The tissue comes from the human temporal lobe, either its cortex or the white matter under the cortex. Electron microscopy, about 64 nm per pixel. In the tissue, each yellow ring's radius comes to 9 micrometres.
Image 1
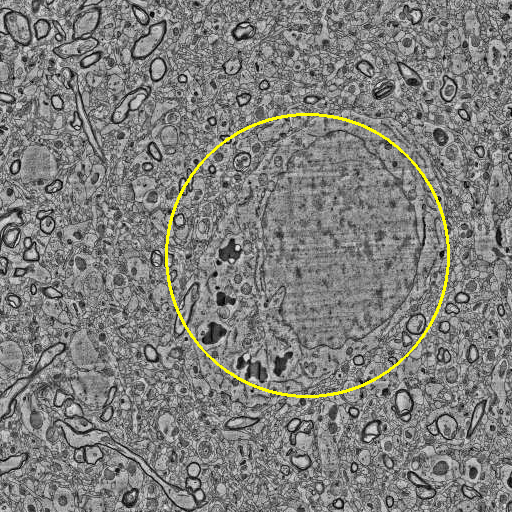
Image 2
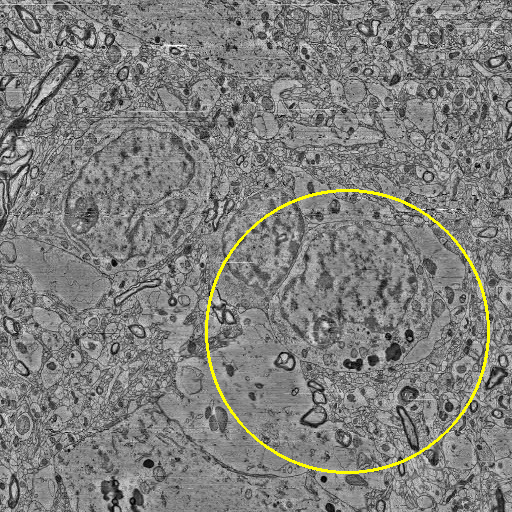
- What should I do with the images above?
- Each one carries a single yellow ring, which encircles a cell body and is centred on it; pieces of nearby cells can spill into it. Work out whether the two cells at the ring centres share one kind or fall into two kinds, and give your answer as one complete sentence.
The ring-centre cells of Image 1 and Image 2 share one kind.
